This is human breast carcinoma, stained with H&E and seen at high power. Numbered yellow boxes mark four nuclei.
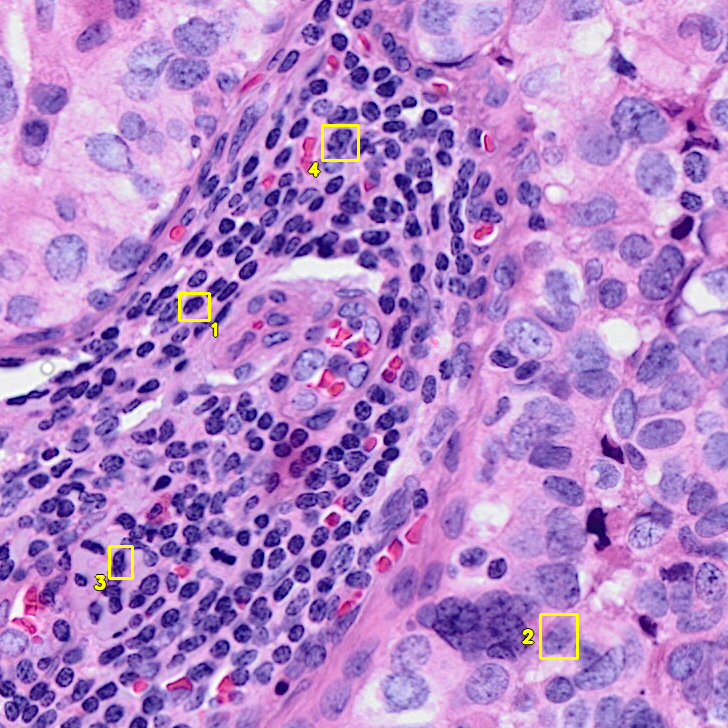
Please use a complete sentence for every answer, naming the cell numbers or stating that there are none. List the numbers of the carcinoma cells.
There is only one numbered cell that is a carcinoma cell, and it is cell 2.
